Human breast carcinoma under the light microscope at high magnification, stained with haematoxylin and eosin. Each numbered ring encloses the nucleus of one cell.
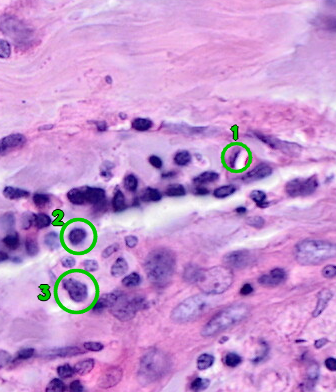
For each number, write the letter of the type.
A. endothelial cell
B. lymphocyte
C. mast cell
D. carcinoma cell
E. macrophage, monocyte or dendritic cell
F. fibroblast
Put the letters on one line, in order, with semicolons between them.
A; B; B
